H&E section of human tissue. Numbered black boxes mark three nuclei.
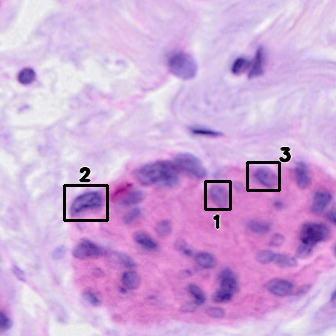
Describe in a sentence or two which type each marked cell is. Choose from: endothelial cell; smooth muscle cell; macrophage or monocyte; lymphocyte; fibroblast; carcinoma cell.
Cell 1 is a smooth muscle cell, cell 2 is an endothelial cell and cell 3 is a smooth muscle cell.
